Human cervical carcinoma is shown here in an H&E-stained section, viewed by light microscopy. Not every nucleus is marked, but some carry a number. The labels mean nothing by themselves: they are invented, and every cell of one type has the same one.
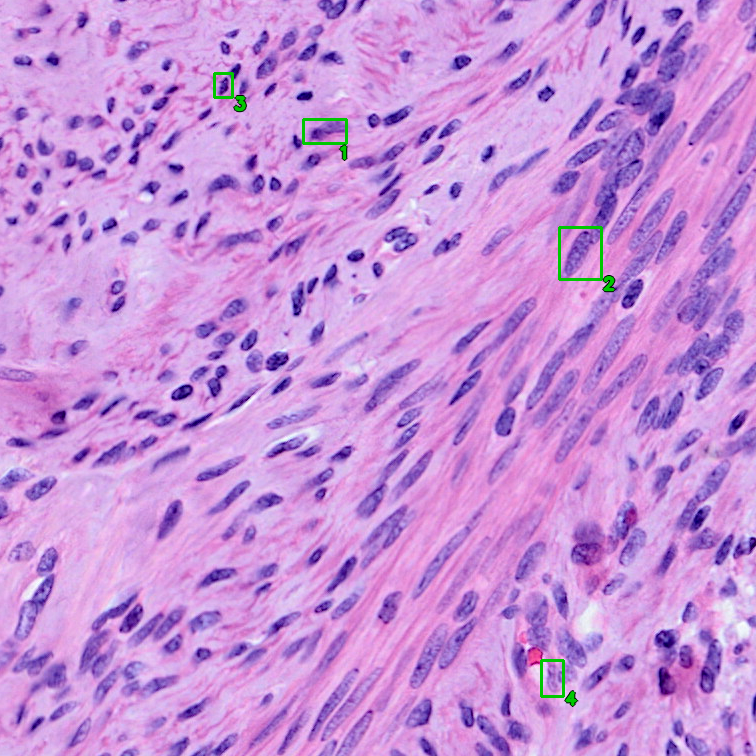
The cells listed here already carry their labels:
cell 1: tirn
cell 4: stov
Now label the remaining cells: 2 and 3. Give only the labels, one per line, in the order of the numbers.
tirn
tirn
